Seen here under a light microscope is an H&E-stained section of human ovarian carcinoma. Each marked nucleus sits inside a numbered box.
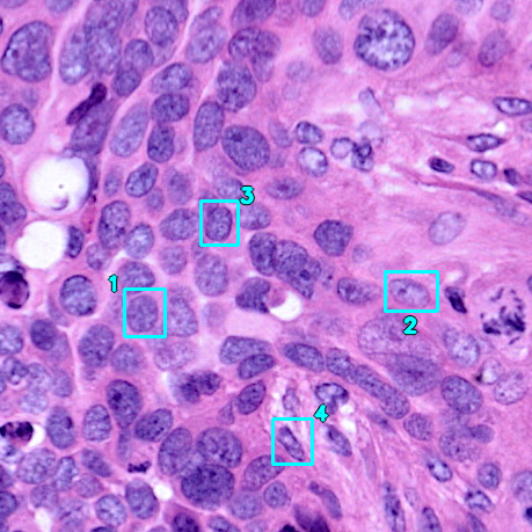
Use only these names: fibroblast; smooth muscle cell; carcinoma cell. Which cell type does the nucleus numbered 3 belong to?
carcinoma cell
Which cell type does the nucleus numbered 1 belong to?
carcinoma cell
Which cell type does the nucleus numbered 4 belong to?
fibroblast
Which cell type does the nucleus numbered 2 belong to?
fibroblast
